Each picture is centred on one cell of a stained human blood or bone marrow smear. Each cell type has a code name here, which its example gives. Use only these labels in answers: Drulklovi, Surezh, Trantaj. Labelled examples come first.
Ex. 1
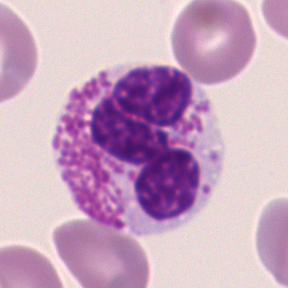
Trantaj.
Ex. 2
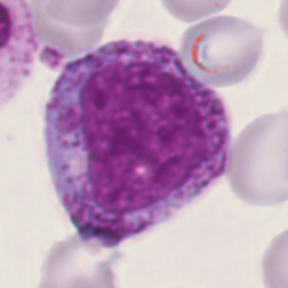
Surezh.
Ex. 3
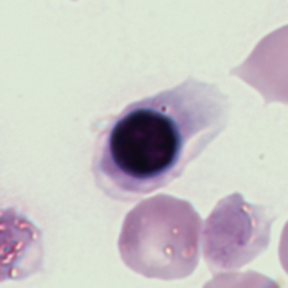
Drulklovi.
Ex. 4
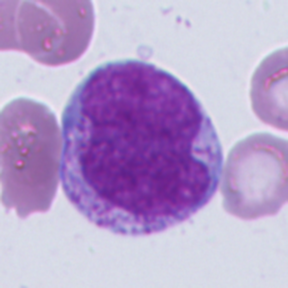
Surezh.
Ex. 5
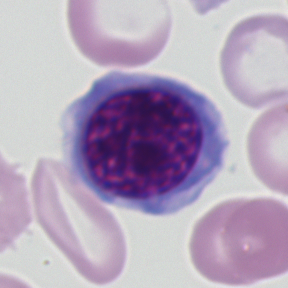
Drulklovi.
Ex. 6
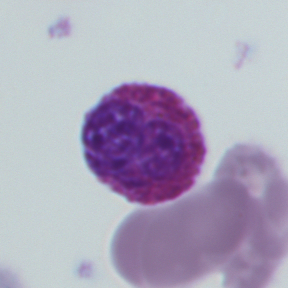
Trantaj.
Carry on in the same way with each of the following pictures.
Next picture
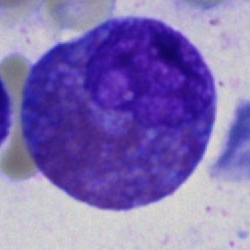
Trantaj.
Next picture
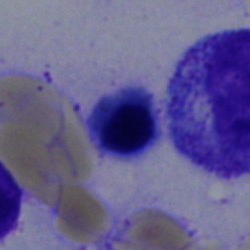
Drulklovi.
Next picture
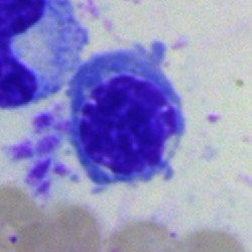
Drulklovi.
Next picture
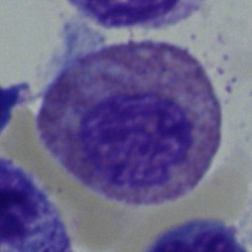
Trantaj.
